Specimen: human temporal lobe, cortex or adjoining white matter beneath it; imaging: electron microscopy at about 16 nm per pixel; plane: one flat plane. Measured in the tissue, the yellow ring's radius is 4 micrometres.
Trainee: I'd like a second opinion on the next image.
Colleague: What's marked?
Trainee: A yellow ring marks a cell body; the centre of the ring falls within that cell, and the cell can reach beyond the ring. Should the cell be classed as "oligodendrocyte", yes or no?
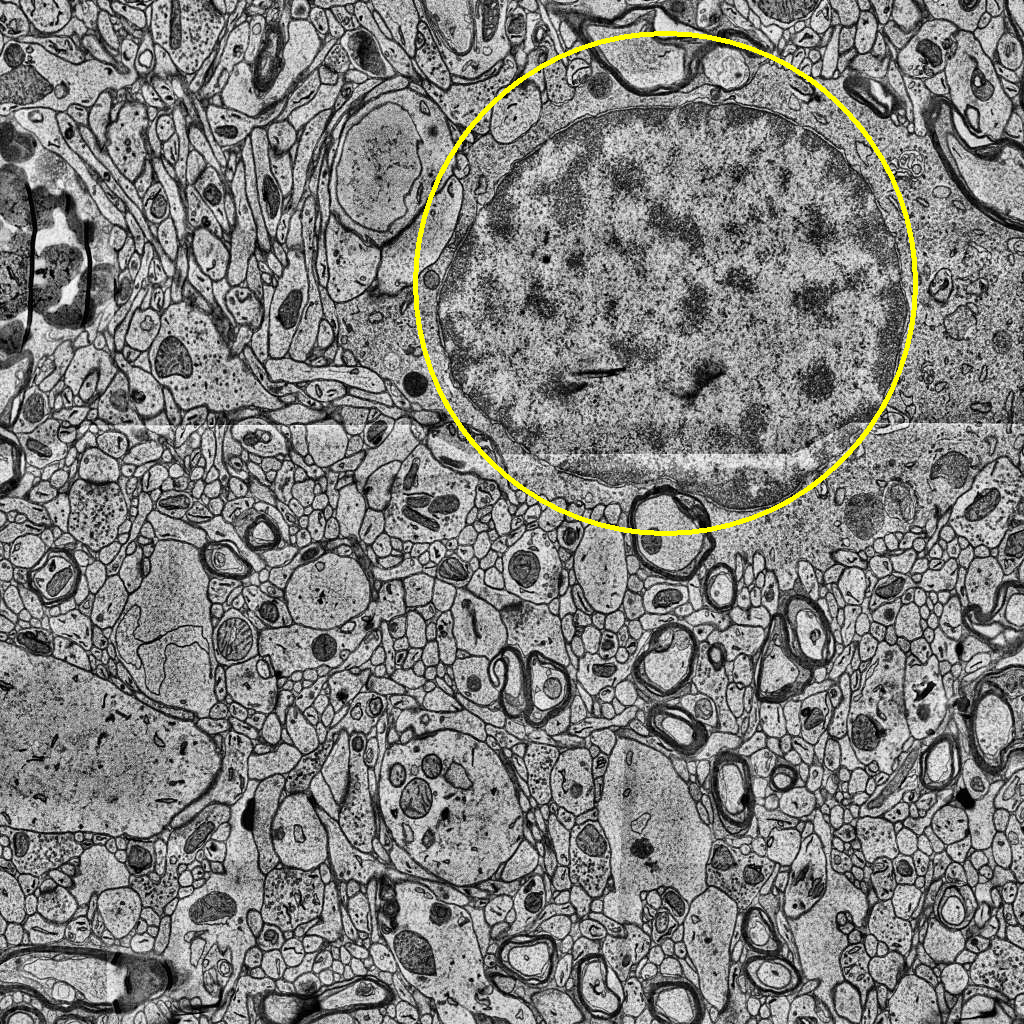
Yes, it should.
